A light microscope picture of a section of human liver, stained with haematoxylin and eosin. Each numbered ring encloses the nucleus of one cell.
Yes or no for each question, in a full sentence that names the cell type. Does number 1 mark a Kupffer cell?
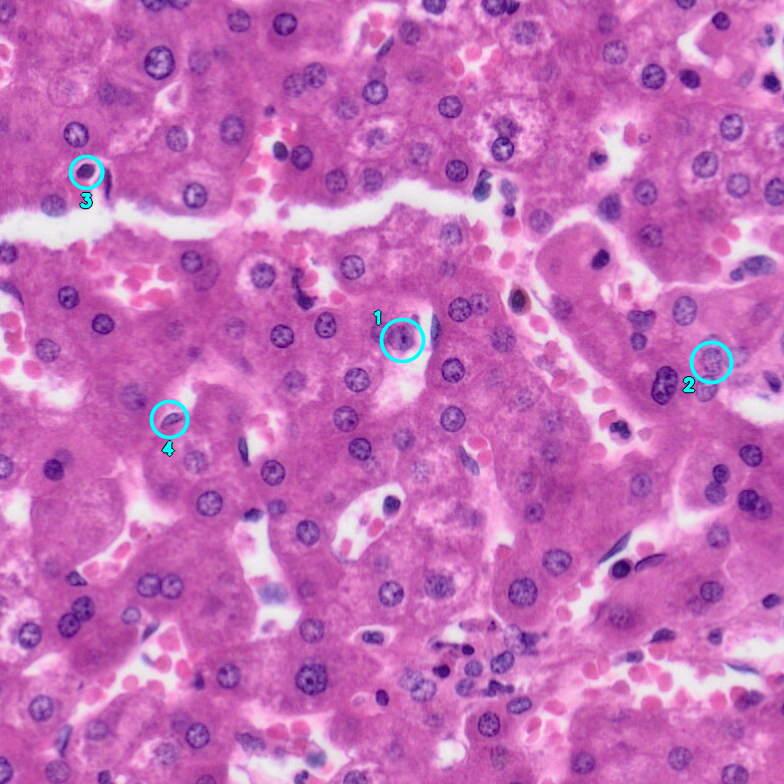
Yes, cell 1 is a Kupffer cell in this tissue section.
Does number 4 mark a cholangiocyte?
No, the cell tagged 4 is an endothelial cell, not a cholangiocyte.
